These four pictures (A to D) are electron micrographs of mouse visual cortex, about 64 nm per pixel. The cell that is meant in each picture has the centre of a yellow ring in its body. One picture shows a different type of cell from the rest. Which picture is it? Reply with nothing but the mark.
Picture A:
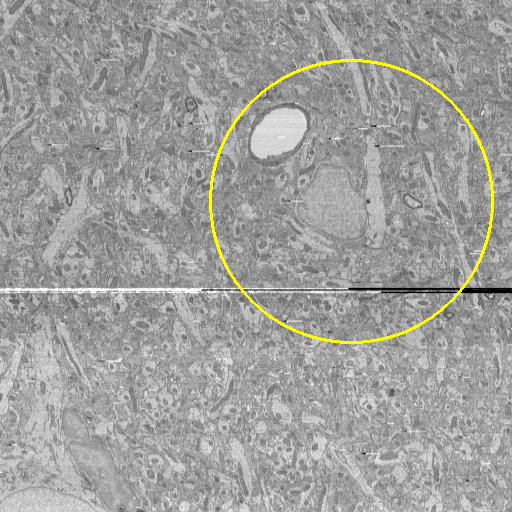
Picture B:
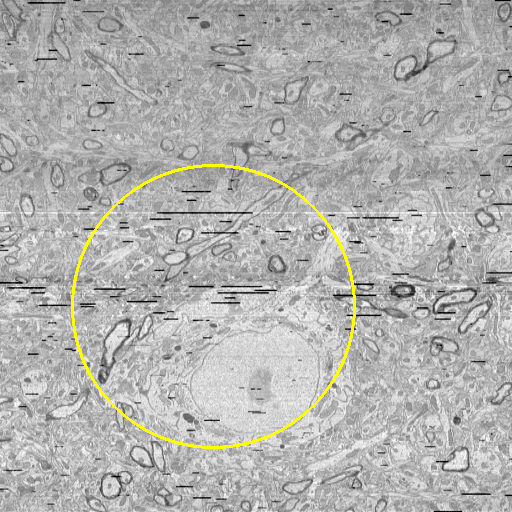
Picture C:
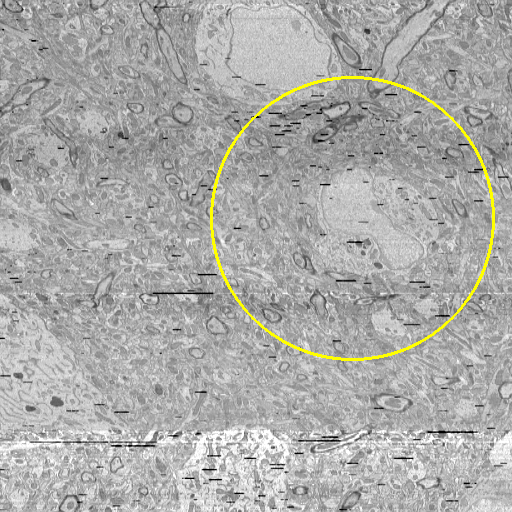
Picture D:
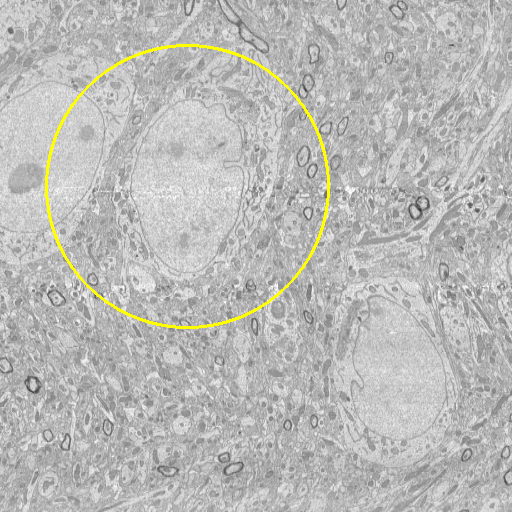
D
